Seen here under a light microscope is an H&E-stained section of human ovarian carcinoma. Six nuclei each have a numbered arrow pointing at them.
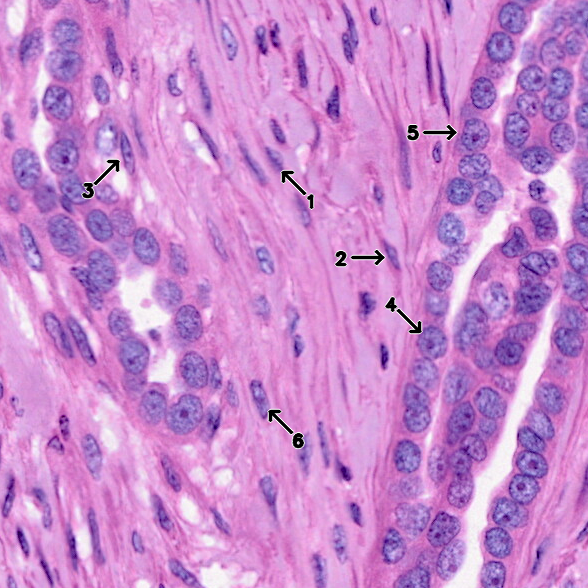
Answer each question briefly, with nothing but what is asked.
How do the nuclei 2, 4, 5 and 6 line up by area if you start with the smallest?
2, 6, 4, 5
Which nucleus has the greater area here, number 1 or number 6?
6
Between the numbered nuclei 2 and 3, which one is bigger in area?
3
